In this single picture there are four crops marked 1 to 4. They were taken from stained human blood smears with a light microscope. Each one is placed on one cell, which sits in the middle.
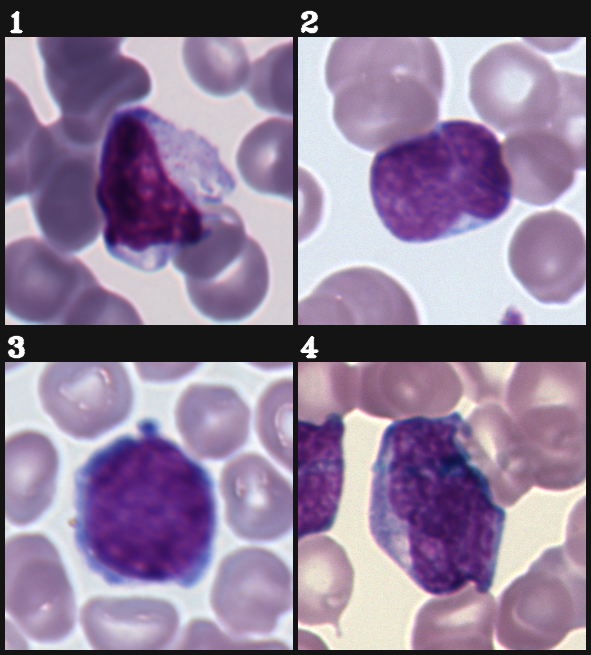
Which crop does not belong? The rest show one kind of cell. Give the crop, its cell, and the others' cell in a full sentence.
Just crop 1 is a typical lymphocyte; all the other crops show myeloblasts.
